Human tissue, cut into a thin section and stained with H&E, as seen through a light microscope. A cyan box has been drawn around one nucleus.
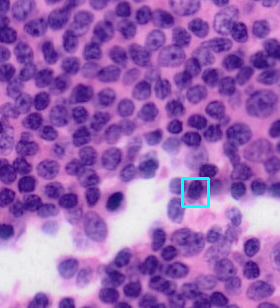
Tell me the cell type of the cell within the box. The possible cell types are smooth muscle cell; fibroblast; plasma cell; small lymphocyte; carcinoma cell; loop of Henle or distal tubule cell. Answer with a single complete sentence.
Placed in its cell category, the cell within the box is a small lymphocyte.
